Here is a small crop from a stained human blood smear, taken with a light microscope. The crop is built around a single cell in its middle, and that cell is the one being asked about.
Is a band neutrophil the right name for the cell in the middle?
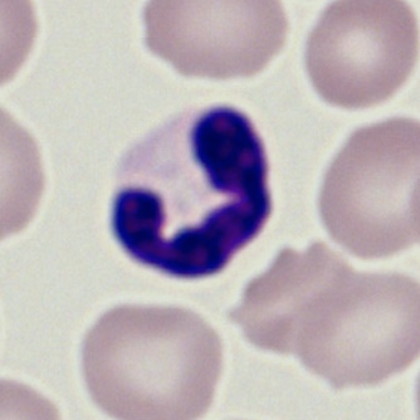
no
